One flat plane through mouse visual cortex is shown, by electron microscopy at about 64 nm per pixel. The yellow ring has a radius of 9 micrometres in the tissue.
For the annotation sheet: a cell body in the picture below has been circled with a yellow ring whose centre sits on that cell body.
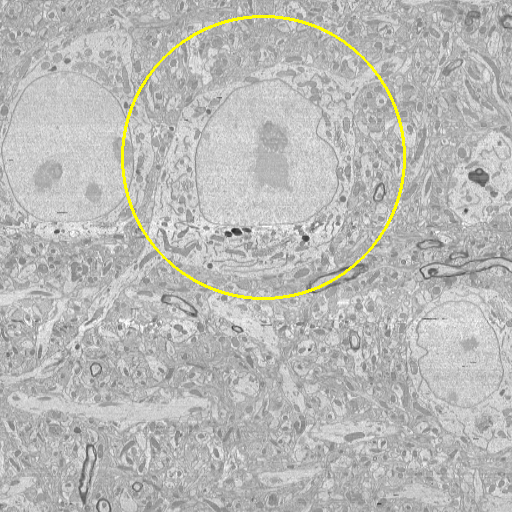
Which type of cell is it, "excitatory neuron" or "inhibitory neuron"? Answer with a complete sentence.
The circled cell is an inhibitory neuron.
